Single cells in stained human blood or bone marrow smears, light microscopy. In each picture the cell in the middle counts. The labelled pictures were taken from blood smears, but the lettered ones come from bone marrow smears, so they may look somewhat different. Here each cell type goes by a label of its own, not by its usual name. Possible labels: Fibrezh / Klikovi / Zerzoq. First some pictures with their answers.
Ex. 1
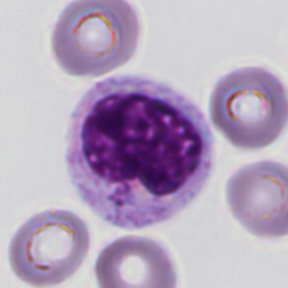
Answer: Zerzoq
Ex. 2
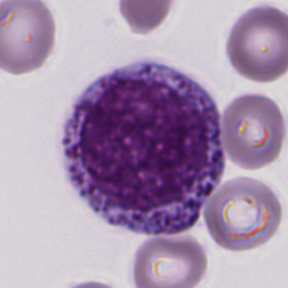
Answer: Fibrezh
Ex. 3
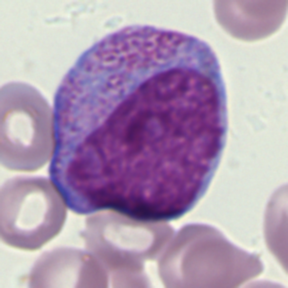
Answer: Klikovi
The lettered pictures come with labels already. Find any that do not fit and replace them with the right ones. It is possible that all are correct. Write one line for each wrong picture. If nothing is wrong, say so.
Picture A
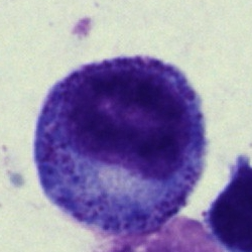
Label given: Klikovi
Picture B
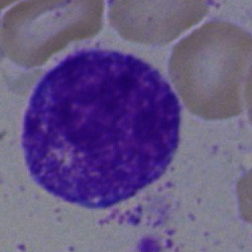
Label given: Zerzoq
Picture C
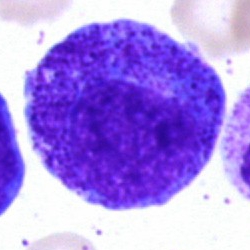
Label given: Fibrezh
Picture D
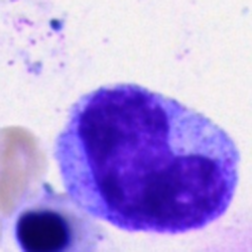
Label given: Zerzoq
C: Klikovi, not Fibrezh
